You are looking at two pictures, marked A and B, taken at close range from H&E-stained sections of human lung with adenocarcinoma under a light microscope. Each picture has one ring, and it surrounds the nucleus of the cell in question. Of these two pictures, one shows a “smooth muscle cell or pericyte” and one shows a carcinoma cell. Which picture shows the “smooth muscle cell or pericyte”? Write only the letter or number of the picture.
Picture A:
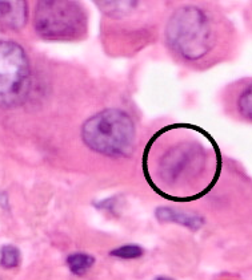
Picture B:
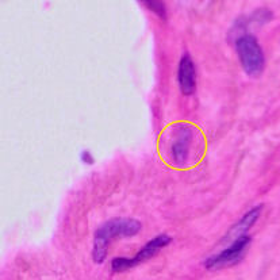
B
